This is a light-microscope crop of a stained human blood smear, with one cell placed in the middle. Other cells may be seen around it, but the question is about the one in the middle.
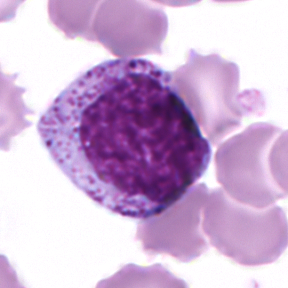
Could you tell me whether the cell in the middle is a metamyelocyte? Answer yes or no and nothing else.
no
